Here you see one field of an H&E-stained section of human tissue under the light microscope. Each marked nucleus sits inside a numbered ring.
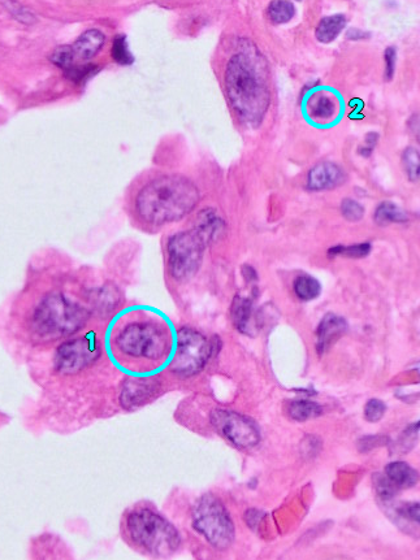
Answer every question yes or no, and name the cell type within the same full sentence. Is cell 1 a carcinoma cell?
Yes, the cell referred to as number 1 is a carcinoma cell.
